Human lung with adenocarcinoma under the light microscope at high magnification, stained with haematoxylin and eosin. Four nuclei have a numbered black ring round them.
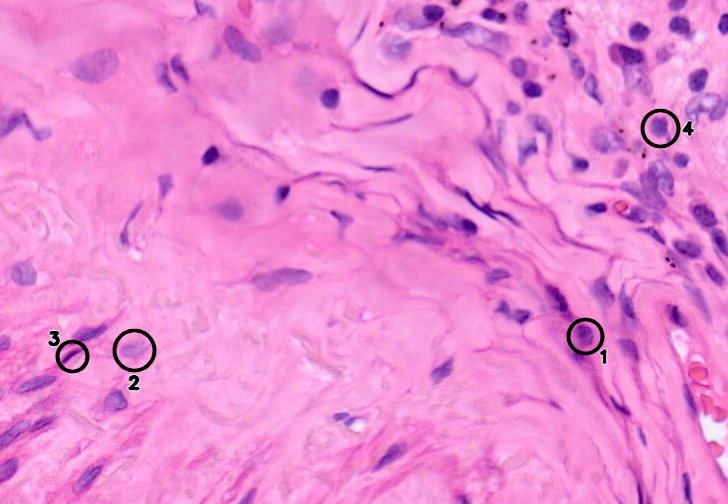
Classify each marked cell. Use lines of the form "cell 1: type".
cell 1: mast cell
cell 2: smooth muscle cell or pericyte
cell 3: smooth muscle cell or pericyte
cell 4: lymphocyte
